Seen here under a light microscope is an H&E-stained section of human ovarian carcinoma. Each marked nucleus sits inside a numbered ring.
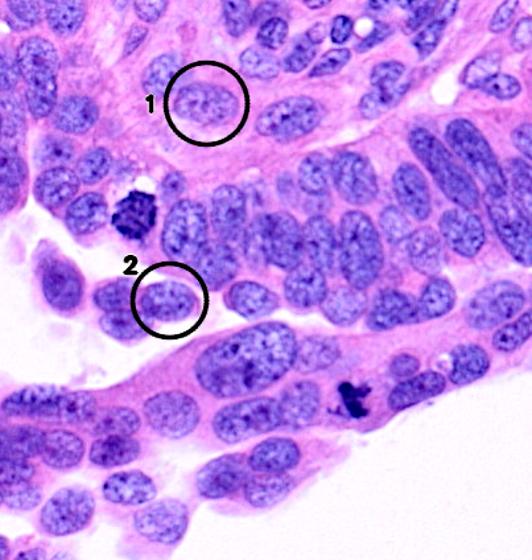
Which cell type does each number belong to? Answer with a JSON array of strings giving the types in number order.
["fibroblast", "carcinoma cell"]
